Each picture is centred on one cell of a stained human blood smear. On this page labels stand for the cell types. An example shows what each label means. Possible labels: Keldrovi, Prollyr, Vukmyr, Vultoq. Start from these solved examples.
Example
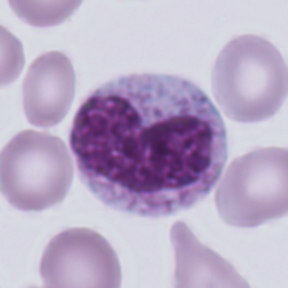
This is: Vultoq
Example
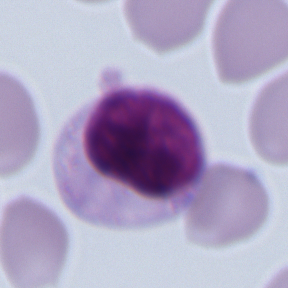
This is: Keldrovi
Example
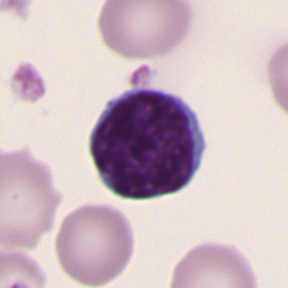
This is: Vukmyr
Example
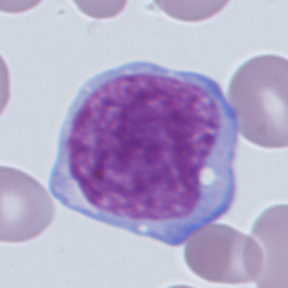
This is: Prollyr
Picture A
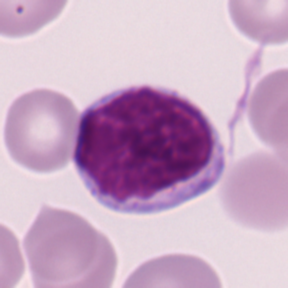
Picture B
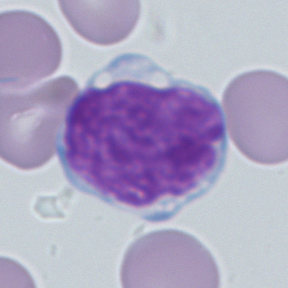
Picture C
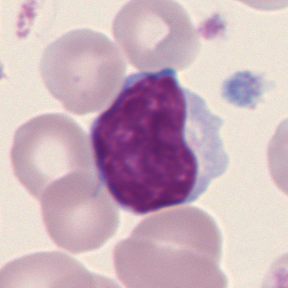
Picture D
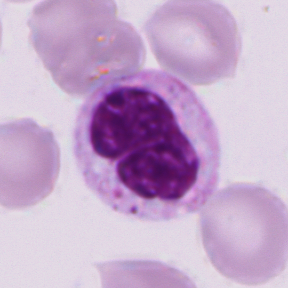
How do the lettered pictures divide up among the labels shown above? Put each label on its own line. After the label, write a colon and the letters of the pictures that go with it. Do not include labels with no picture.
Keldrovi: A
Prollyr: B
Vukmyr: C
Vultoq: D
